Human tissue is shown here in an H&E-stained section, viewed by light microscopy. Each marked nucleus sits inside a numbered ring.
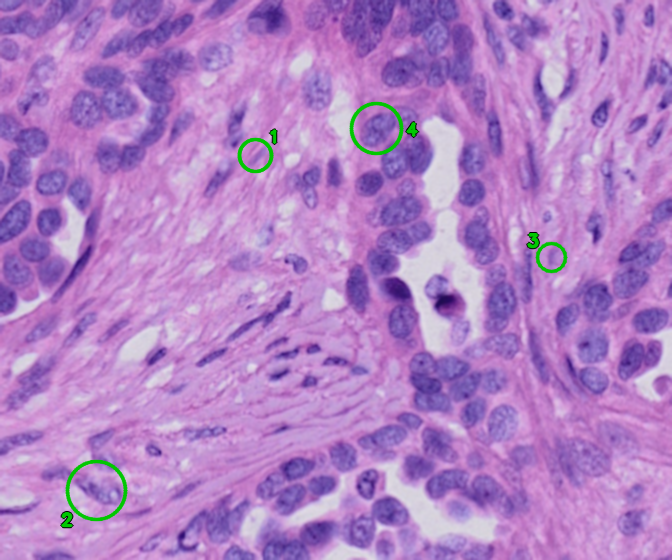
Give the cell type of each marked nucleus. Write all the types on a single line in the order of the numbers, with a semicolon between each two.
fibroblast; fibroblast; fibroblast; carcinoma cell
